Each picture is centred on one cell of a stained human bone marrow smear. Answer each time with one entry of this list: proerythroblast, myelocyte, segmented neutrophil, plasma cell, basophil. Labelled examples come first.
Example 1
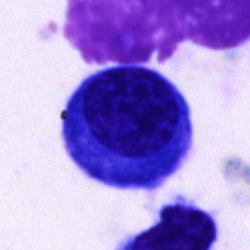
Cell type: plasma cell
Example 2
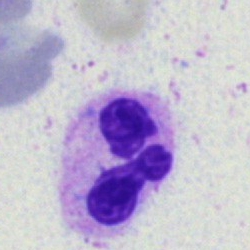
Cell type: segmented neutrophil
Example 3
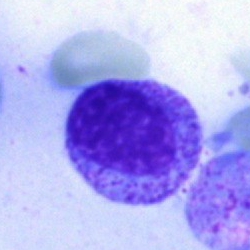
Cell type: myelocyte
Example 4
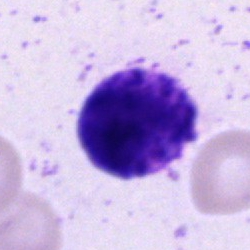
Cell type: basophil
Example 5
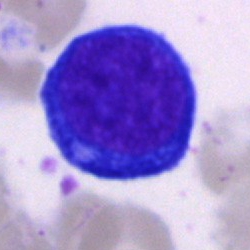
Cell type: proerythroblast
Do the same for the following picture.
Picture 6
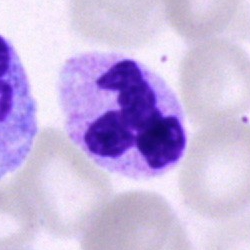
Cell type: segmented neutrophil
